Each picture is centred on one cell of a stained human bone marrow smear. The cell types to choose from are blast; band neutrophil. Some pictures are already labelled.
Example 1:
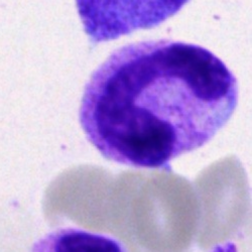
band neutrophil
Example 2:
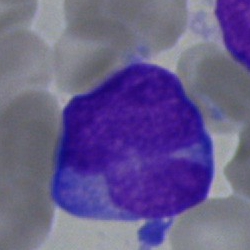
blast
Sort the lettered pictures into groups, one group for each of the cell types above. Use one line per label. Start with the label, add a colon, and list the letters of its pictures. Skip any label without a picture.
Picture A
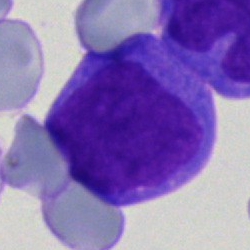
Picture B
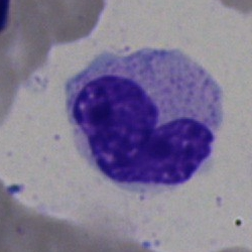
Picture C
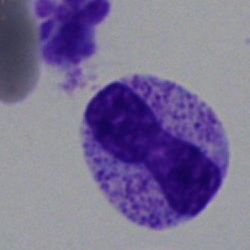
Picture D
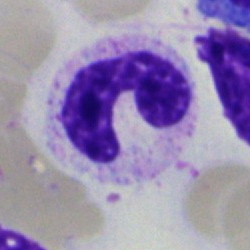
blast: A
band neutrophil: B, C, D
